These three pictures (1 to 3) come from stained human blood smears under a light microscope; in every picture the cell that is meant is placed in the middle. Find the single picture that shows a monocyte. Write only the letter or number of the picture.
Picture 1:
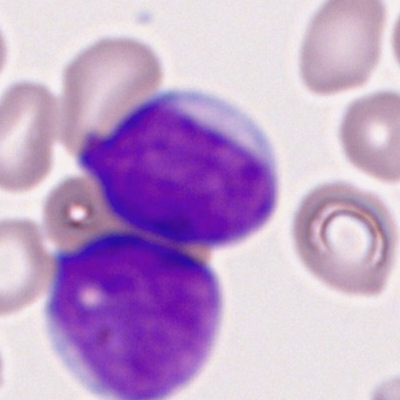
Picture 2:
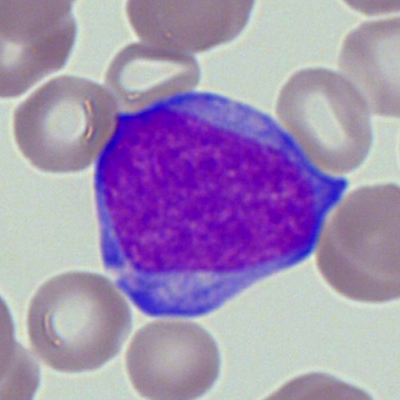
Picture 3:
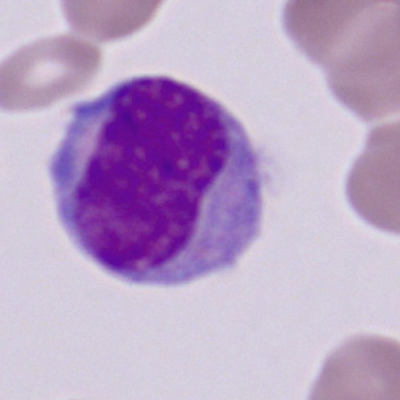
3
